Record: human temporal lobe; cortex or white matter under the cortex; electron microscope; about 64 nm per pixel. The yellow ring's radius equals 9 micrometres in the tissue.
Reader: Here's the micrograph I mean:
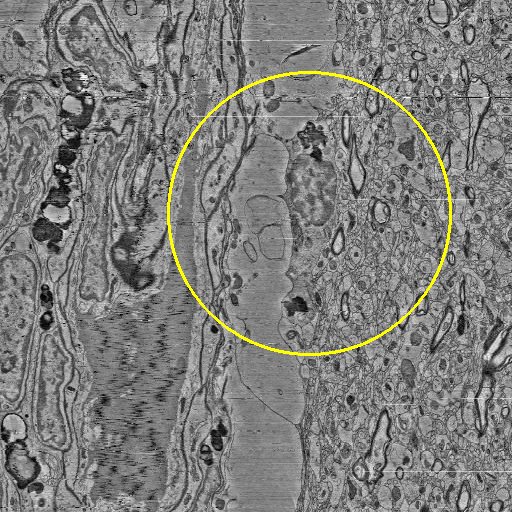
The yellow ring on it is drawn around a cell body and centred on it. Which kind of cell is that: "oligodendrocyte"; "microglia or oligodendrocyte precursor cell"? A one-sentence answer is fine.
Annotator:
The ring is centred on an oligodendrocyte.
